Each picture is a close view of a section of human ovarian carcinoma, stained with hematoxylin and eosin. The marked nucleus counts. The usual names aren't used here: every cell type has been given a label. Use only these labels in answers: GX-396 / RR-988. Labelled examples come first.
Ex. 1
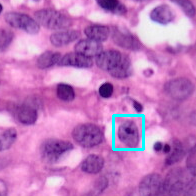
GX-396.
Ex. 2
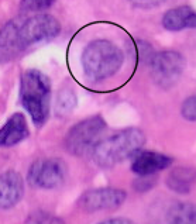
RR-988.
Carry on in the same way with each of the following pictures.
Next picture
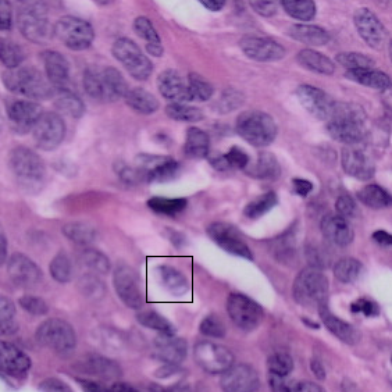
GX-396.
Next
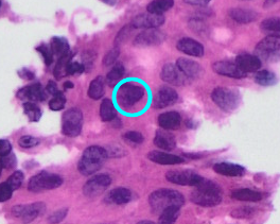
RR-988.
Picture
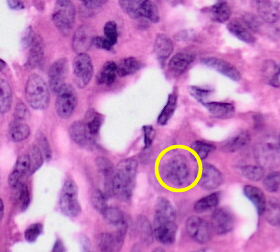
RR-988.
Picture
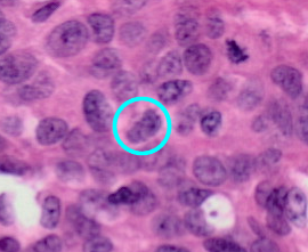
GX-396.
